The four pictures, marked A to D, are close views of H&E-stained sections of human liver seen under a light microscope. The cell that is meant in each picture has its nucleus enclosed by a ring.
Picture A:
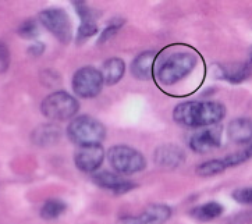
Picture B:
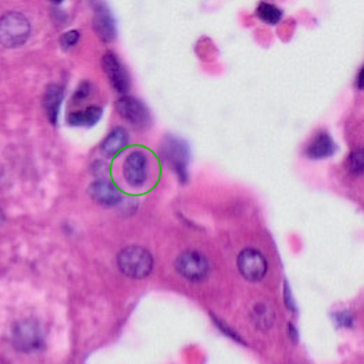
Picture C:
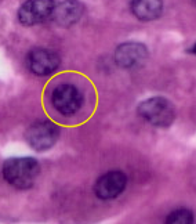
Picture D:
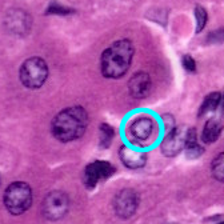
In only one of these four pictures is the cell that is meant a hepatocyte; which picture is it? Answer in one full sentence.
The picture with the hepatocyte is C.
